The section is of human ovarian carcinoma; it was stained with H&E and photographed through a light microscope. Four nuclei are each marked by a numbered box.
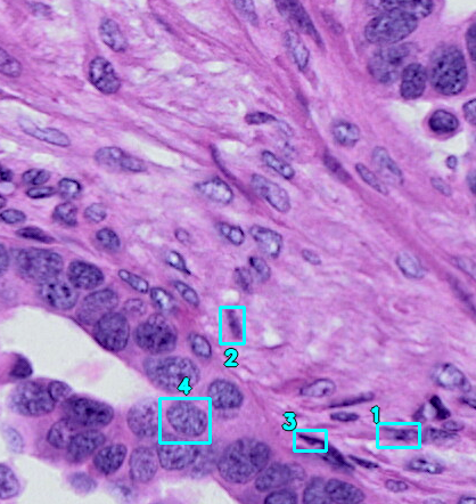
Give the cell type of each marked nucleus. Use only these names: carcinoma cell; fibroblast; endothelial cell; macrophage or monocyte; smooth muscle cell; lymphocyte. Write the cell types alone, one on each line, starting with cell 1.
fibroblast
fibroblast
fibroblast
carcinoma cell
